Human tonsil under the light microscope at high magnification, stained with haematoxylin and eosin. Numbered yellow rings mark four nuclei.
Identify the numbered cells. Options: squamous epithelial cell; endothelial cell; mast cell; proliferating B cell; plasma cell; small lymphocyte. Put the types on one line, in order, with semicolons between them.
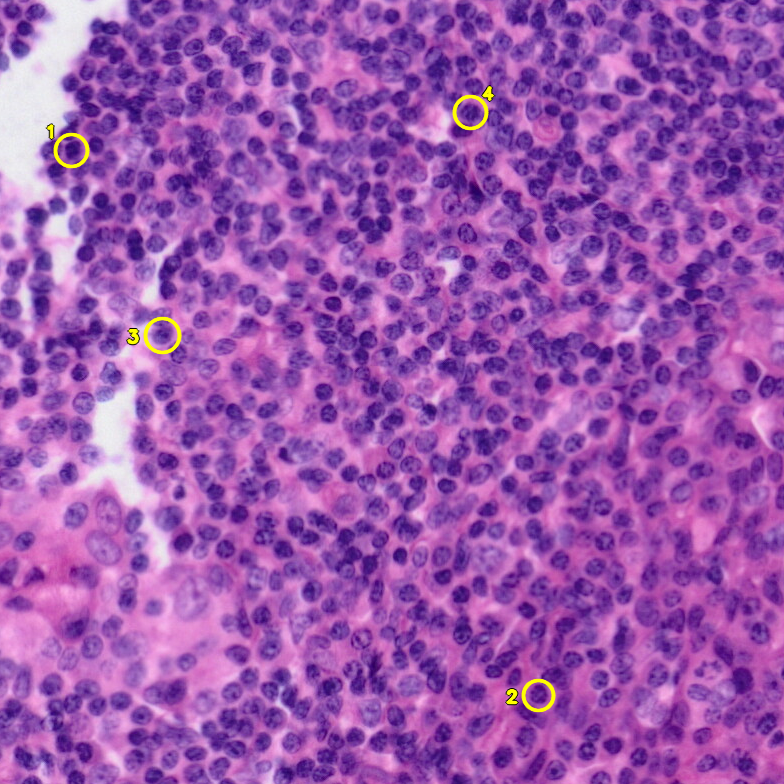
small lymphocyte; plasma cell; small lymphocyte; small lymphocyte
